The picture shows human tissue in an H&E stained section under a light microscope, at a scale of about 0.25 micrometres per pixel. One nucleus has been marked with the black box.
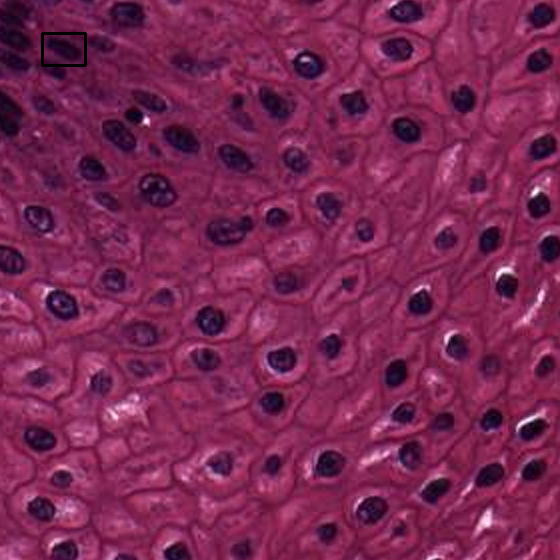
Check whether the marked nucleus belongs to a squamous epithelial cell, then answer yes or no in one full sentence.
Yes, the marked nucleus, in this picture, is that of a squamous epithelial cell.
